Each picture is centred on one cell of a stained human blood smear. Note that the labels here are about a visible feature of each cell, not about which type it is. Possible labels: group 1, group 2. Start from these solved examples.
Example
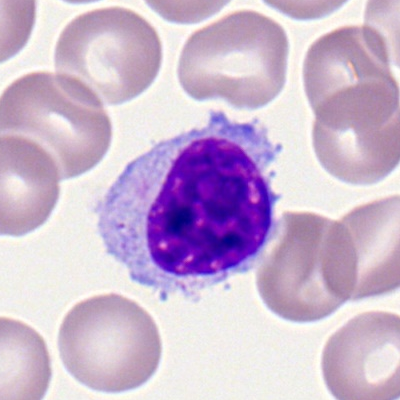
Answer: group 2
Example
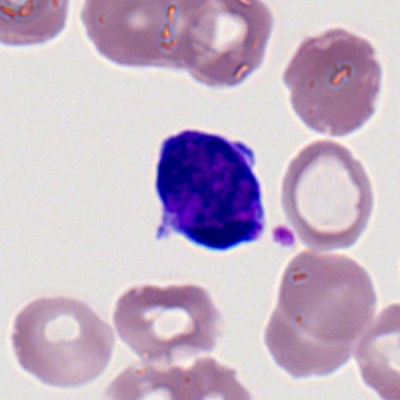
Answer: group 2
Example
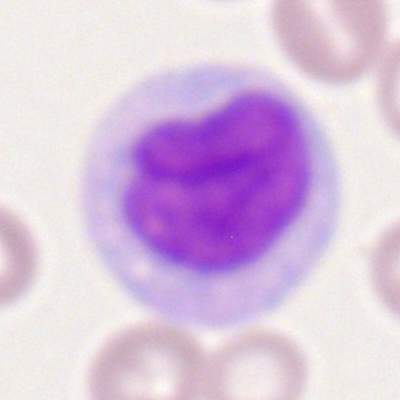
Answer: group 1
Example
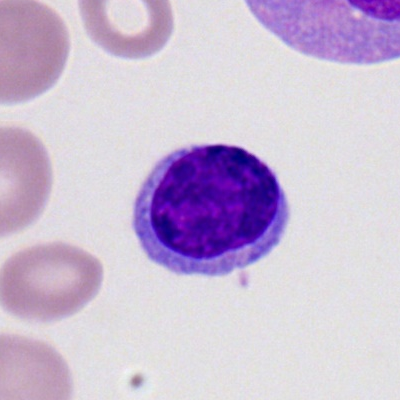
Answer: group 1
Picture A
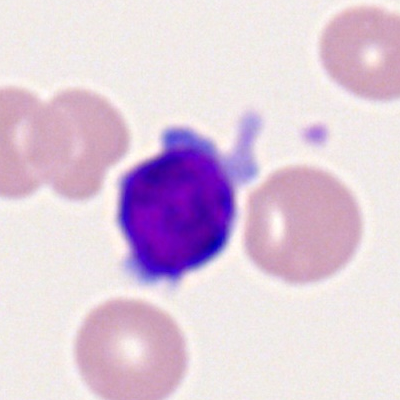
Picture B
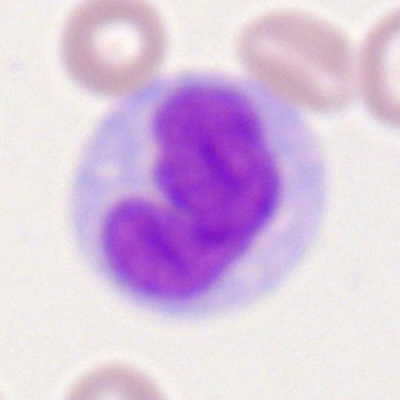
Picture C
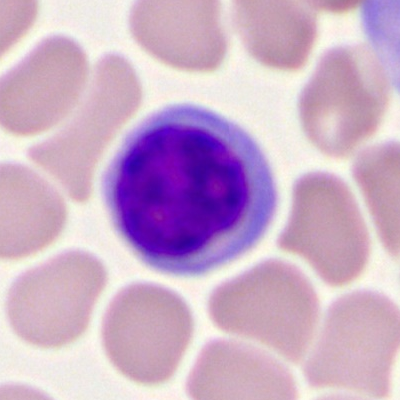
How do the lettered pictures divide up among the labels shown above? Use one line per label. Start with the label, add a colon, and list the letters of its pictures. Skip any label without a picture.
group 1: B, C
group 2: A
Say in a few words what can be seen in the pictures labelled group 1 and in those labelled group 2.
group 1: smooth outline; group 2: ragged outline or projections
